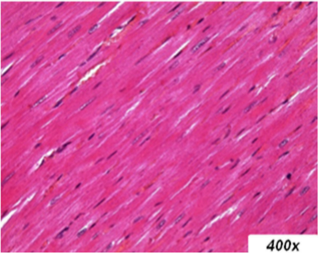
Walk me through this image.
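This is heart muscle cut along its length, with cardiomyocytes running as long parallel pink fibres. Their cytoplasm is densely eosinophilic and each fibre holds elongated, dark purple nuclei lying in its centre. Narrow pale clefts separate neighbouring fibres, and a few thinner, darker nuclei in these spaces belong to interstitial cells.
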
